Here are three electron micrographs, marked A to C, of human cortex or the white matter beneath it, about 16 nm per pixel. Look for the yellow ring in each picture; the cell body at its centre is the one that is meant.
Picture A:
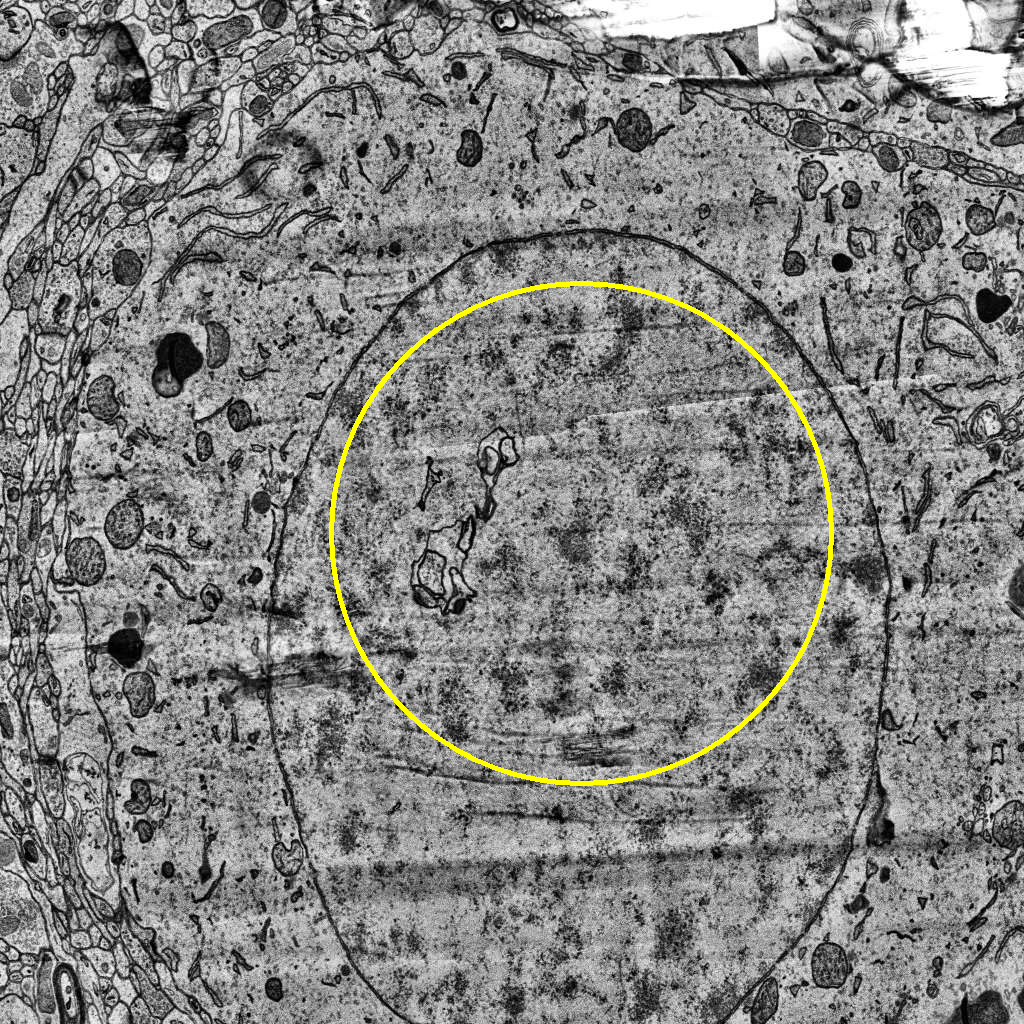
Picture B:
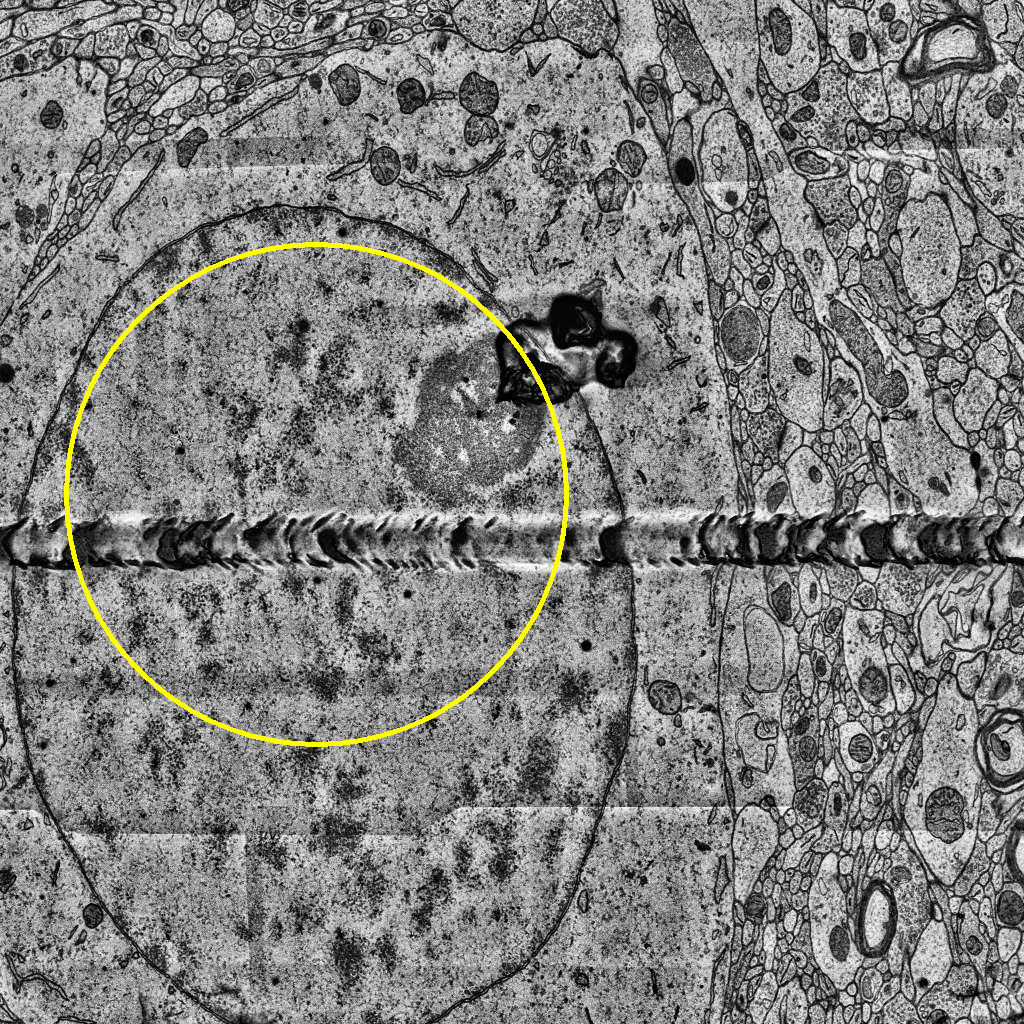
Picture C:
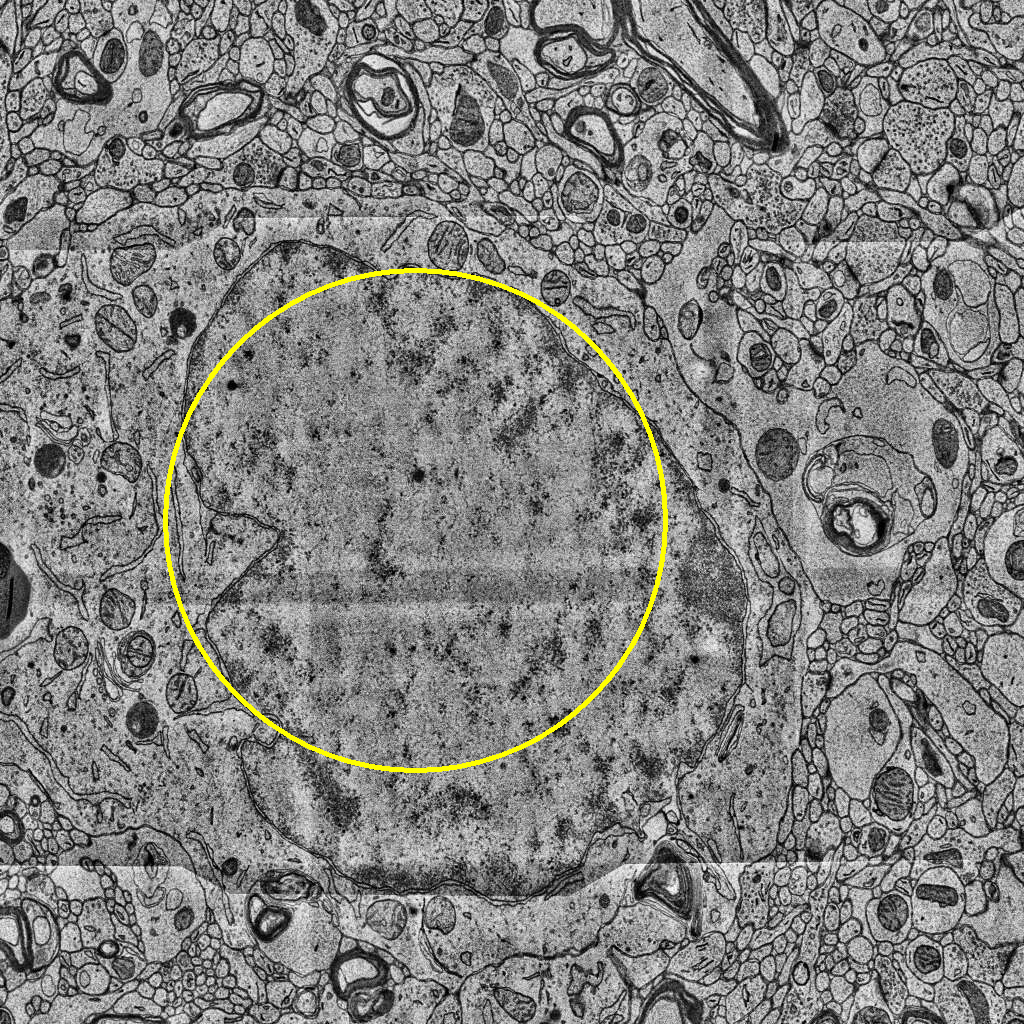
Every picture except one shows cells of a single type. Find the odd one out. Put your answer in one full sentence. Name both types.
Unlike the rest, which show pyramidal neurons, picture C shows an interneuron.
